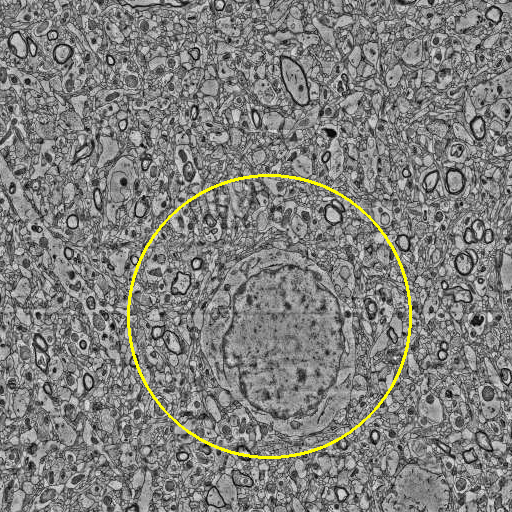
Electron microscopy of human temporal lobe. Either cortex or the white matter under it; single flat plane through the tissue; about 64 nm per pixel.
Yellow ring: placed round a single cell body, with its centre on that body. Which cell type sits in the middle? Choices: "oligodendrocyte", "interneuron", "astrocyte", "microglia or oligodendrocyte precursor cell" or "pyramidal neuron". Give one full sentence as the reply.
It is an interneuron whose cell body sits at the centre of the yellow ring.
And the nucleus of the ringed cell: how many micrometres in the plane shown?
Roughly 10 by 8 micrometres in this plane, for the nucleus of the ringed cell.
